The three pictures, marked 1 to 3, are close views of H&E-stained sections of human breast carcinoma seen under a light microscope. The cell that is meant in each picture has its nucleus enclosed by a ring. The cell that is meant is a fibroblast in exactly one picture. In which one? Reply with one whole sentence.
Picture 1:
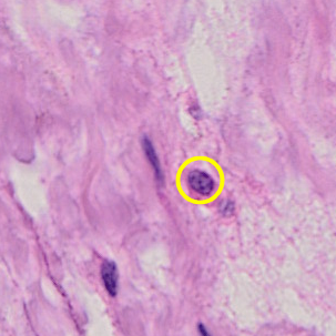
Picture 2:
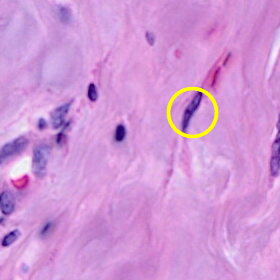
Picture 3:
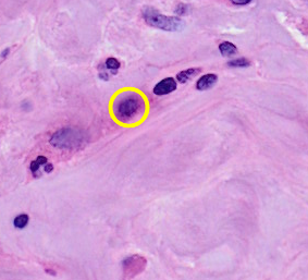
Picture 2 shows the fibroblast.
